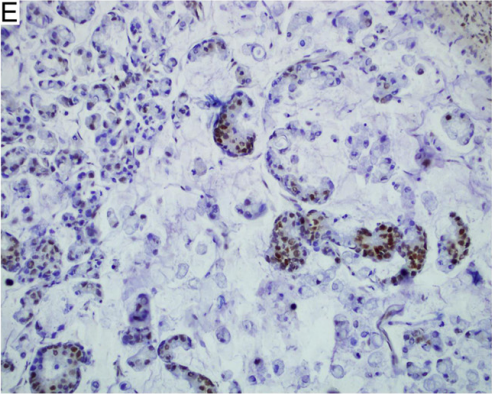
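Signet ring cells lie scattered singly and in small groups in a pale mucinous background, each with a large clear vacuole pushing the nucleus to the edge. Some clusters of tumour cells have dark brown nuclei, while many other cells show only blue nuclei.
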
